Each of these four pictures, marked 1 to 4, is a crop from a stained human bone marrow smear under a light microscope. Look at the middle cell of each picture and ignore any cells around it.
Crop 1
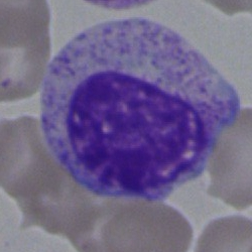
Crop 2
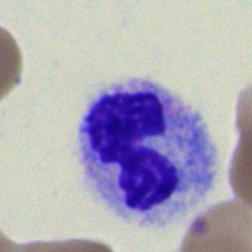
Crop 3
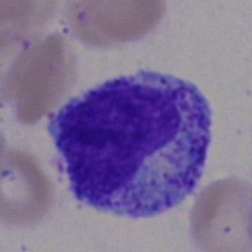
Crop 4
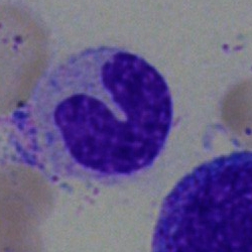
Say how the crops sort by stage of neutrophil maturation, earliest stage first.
1, 3, 4, 2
